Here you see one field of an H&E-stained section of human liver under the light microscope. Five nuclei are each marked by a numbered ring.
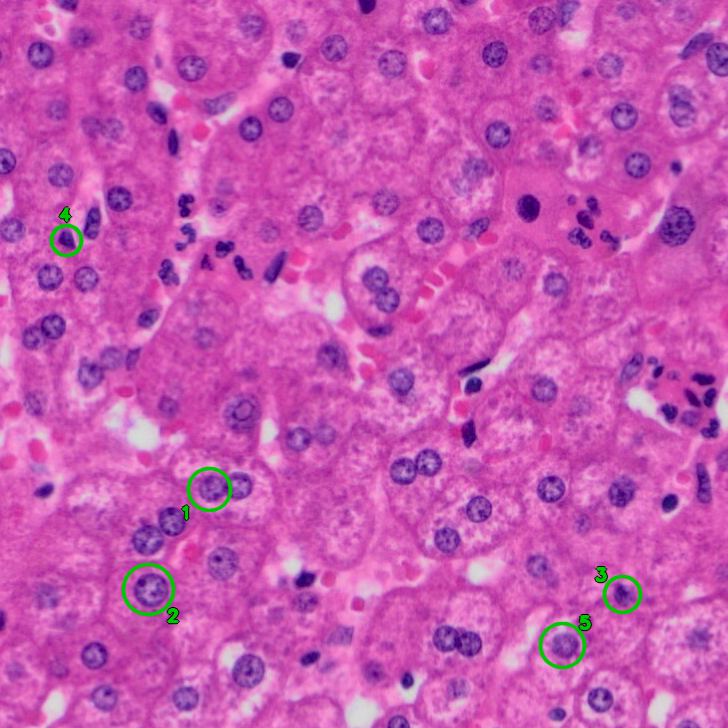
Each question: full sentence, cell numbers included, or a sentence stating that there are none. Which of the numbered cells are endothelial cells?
Only one marked cell, number 3, is an endothelial cell.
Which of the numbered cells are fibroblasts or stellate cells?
Among the marked cells, a fibroblast or stellate cell is found only at number 4.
